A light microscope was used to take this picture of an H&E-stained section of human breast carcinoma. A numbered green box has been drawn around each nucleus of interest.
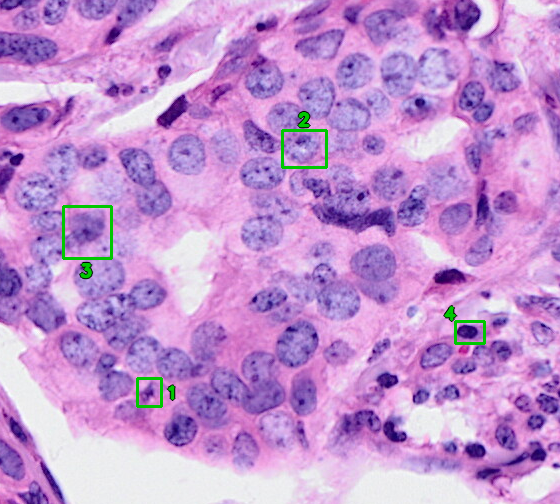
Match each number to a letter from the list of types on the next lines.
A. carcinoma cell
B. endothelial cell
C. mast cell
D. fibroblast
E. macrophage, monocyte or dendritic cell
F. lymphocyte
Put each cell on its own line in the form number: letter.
1: A
2: A
3: A
4: F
